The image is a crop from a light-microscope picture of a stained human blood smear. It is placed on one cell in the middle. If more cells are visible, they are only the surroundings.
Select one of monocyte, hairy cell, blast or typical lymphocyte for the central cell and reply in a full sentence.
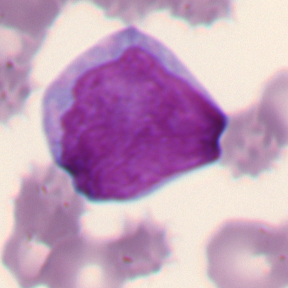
Occupying the centre of the crop is a blast.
